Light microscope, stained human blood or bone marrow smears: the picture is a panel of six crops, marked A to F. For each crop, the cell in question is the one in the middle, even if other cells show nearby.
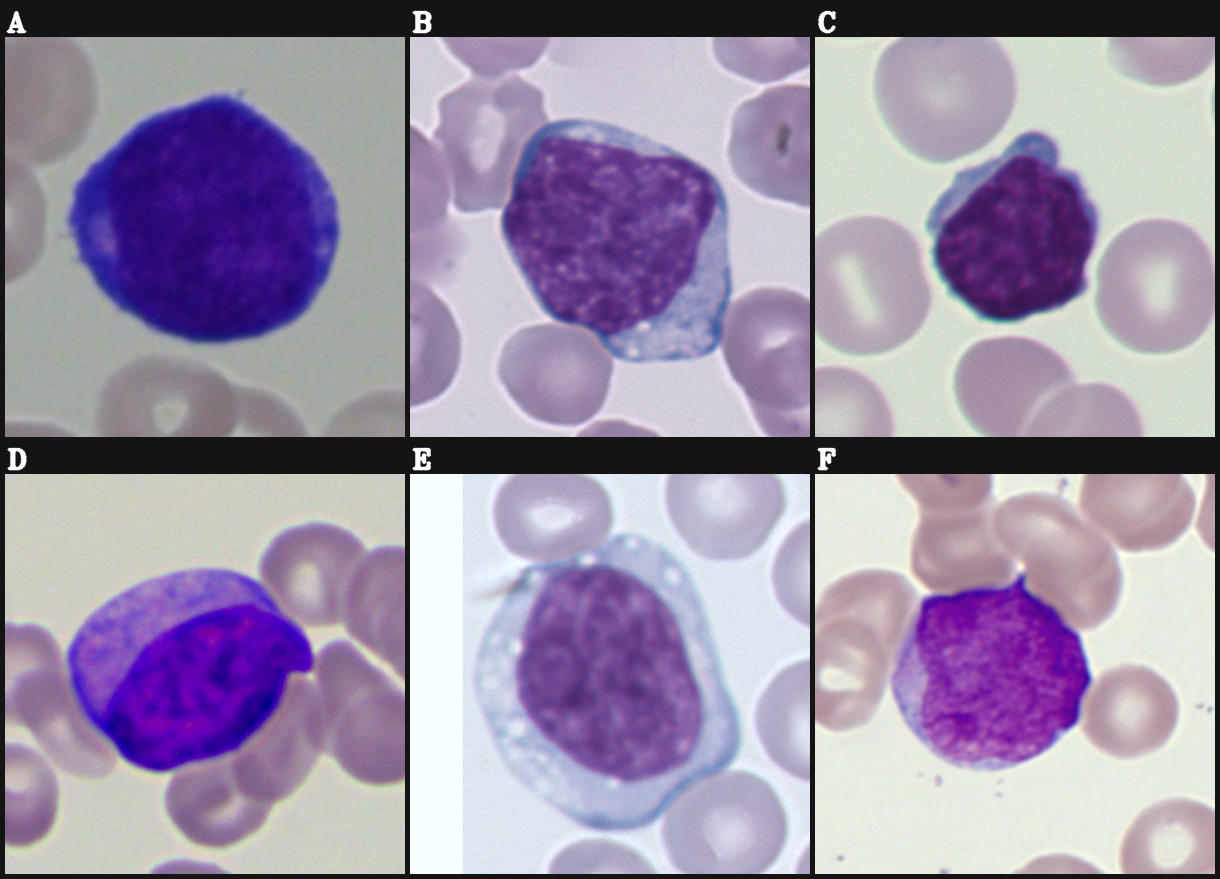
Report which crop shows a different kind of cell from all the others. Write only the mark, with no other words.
C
